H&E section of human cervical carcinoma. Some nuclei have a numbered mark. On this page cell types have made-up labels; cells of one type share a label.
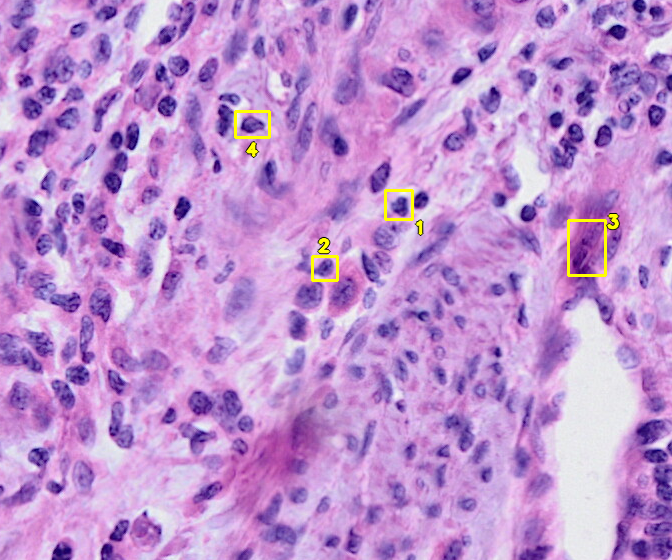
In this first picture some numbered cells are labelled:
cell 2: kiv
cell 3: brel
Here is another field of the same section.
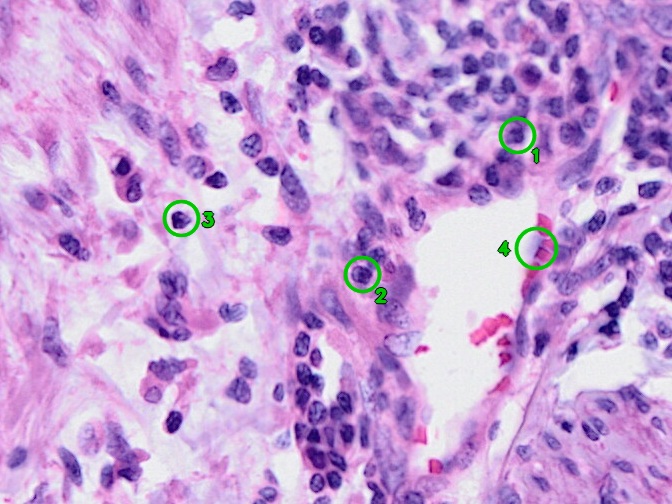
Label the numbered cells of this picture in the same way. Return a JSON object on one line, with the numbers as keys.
{"1": "kiv", "2": "kiv", "3": "kiv", "4": "brel"}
